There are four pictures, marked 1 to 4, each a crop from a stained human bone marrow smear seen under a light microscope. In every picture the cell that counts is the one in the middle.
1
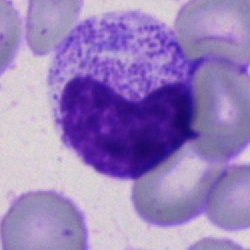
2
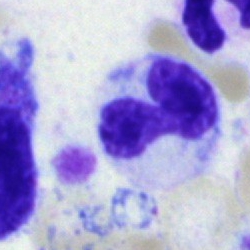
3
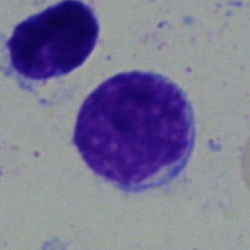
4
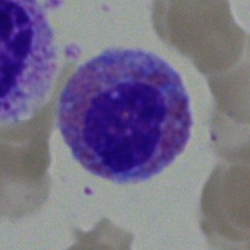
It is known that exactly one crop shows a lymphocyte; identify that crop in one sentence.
It is crop 3, not any other, that shows a lymphocyte.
